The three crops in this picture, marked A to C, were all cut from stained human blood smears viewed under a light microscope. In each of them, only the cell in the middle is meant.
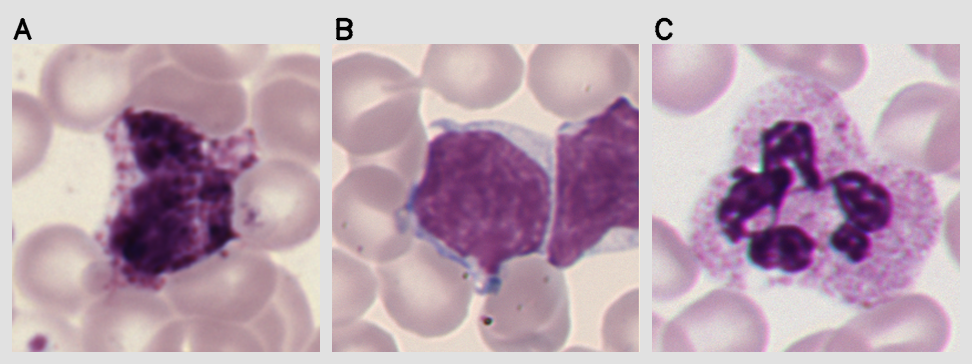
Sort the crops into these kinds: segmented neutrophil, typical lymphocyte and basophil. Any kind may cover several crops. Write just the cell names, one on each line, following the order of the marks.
basophil
typical lymphocyte
segmented neutrophil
